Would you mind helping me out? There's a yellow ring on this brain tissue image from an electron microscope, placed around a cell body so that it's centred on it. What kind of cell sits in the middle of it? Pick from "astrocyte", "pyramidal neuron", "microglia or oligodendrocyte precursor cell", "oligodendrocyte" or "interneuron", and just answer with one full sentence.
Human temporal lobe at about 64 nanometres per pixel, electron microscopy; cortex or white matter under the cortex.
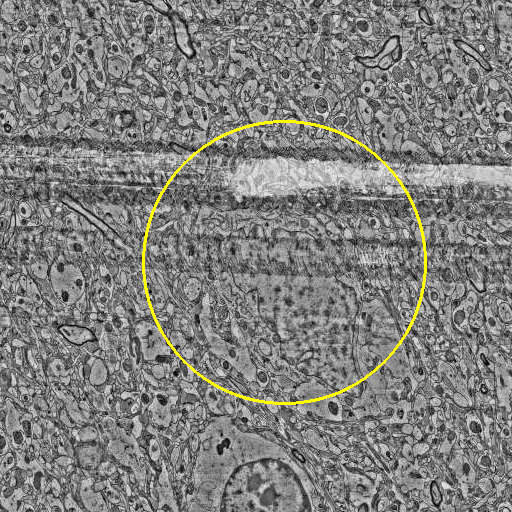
What sits in the middle of that yellow ring is an interneuron, from your choices.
